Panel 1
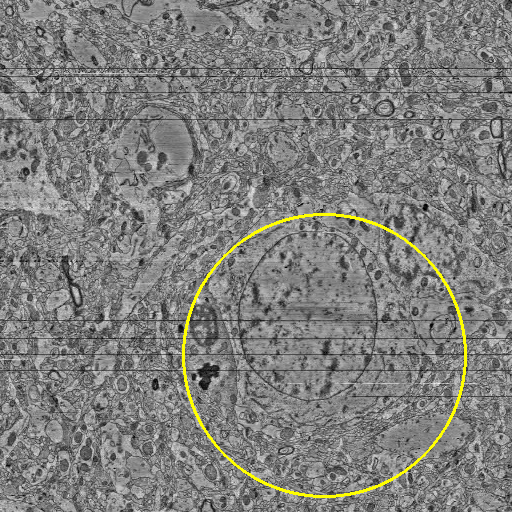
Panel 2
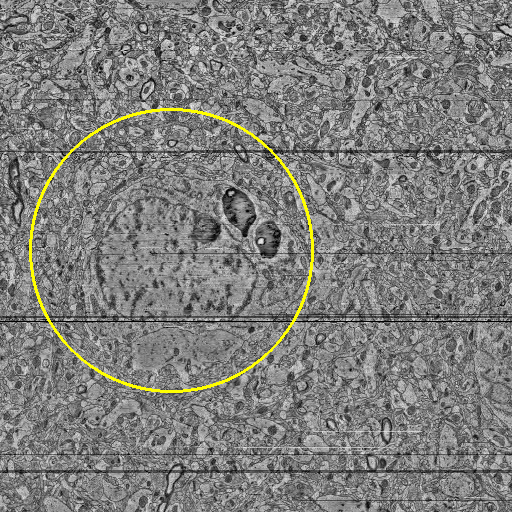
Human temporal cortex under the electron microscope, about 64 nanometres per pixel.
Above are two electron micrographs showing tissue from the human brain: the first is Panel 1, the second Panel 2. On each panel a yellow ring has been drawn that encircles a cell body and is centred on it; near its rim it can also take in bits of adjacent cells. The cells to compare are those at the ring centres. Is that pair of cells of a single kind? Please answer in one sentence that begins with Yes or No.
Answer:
No, the ring-centred cells of Panel 1 and Panel 2 belong to two kinds.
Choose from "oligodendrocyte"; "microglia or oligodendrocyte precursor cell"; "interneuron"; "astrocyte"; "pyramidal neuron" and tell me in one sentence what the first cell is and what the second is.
What the first ring is centred on is a pyramidal neuron; what the second ring is centred on is an interneuron.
